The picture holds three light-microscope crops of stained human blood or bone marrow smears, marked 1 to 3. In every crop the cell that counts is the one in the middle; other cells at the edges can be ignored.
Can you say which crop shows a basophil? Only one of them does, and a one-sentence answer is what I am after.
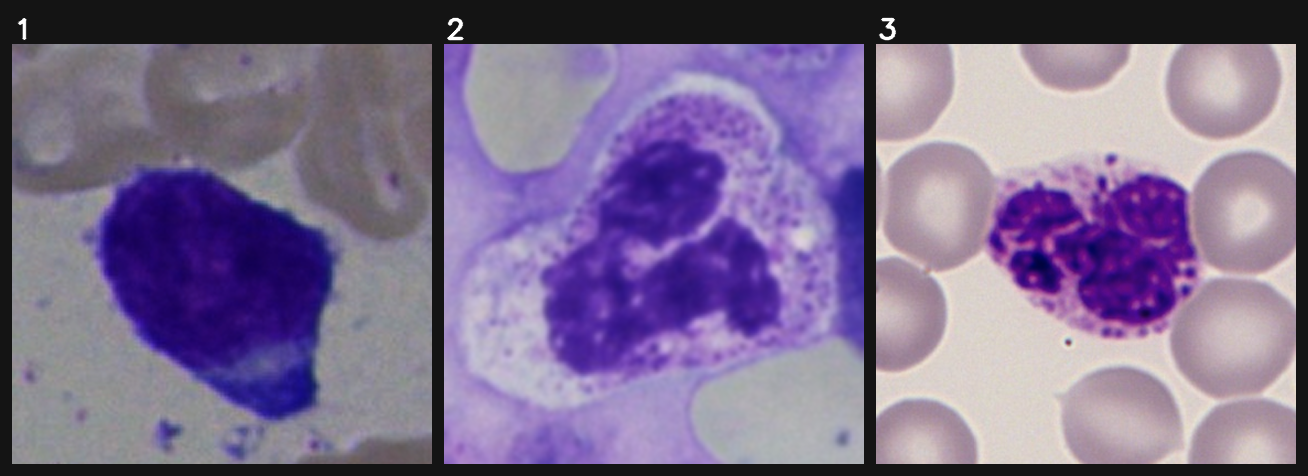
Crop 3 is where a basophil is shown.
